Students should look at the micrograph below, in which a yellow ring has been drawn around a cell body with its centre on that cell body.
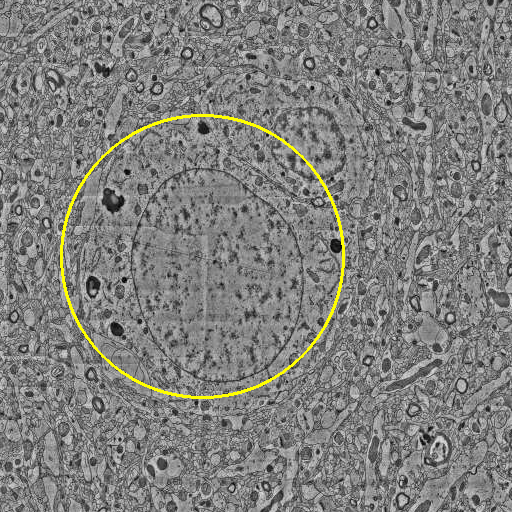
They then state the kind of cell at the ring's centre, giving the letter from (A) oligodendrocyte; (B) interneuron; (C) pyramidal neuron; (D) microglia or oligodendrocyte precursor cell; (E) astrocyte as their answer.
C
